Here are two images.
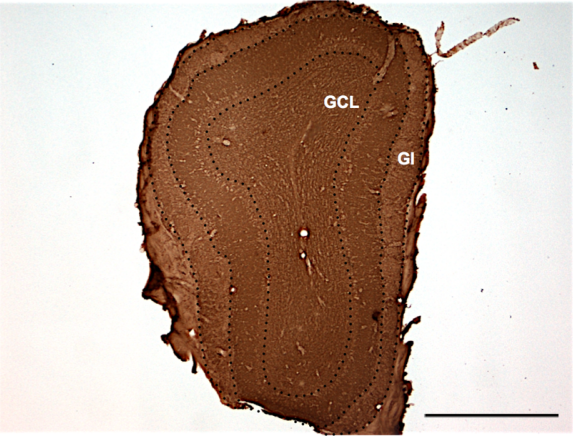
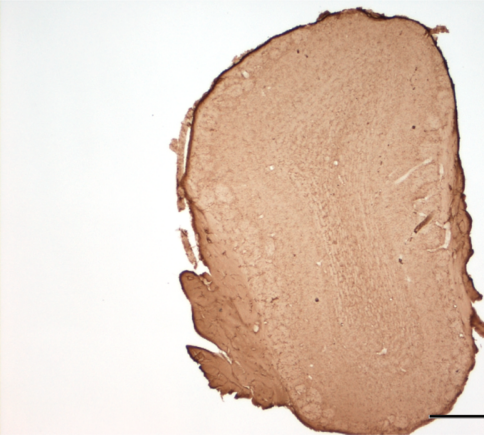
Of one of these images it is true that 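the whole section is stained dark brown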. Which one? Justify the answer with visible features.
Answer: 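Second image: the section is only pale tan.
Hence: the first image.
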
